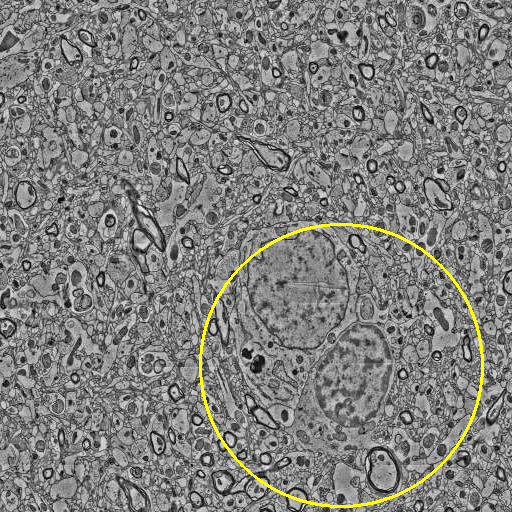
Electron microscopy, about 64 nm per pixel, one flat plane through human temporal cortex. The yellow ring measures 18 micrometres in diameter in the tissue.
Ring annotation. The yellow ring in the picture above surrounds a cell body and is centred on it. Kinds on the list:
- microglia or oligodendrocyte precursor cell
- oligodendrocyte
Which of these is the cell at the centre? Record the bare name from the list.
oligodendrocyte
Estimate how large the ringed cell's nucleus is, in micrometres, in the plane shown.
The nucleus works out at approximately 7 by 5 micrometres in this plane.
